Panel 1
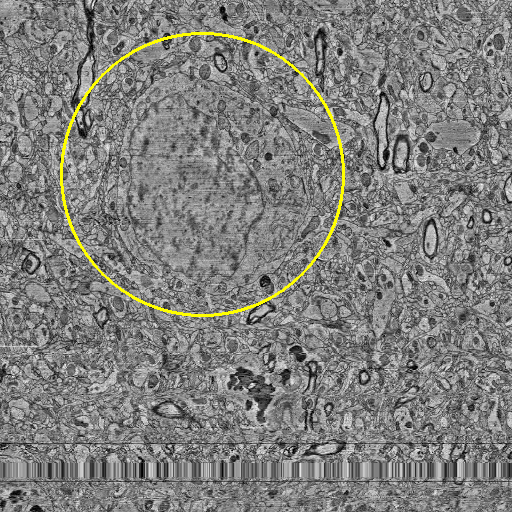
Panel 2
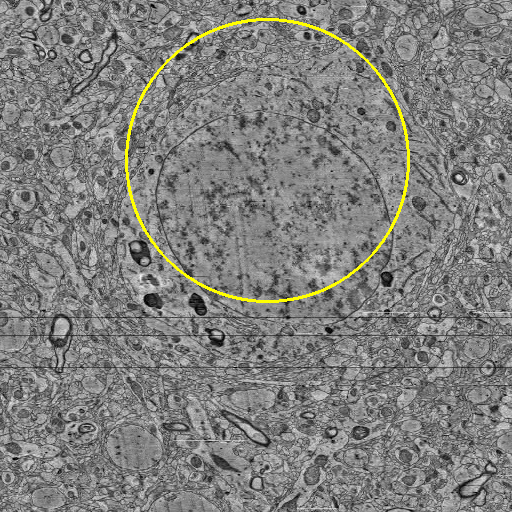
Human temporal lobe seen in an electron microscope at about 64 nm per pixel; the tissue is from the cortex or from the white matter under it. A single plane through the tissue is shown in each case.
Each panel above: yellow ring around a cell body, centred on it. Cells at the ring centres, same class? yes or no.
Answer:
no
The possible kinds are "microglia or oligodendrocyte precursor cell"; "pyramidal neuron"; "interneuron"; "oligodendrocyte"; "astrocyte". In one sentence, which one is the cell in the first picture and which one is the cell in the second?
The cell ringed in the second picture is a pyramidal neuron, whereas the one ringed in the first is an interneuron.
